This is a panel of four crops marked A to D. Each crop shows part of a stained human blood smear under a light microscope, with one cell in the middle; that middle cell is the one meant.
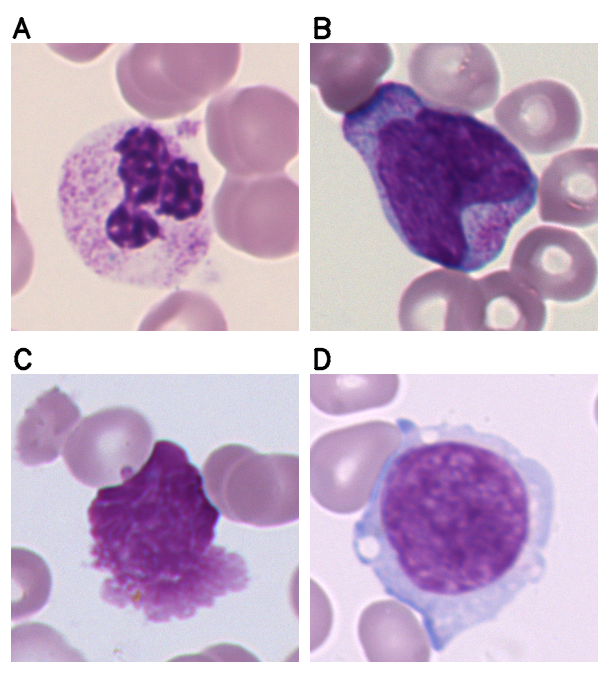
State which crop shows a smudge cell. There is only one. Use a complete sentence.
Crop C matches the request, showing a smudge cell.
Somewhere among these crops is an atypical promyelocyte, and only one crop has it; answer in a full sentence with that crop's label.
Crop B is the one that shows an atypical promyelocyte.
